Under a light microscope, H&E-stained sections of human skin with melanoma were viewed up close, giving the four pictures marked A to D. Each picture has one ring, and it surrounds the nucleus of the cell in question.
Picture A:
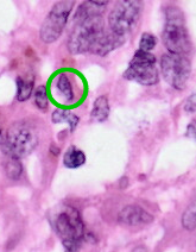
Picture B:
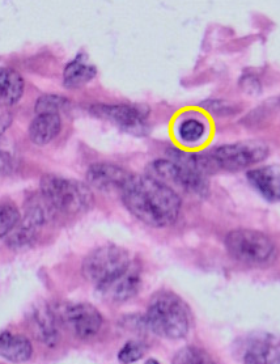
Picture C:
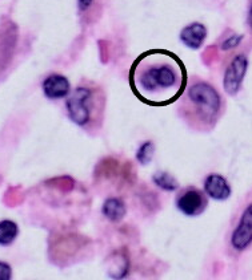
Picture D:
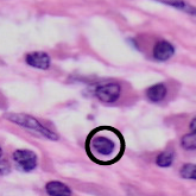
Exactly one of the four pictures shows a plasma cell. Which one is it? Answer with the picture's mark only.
D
